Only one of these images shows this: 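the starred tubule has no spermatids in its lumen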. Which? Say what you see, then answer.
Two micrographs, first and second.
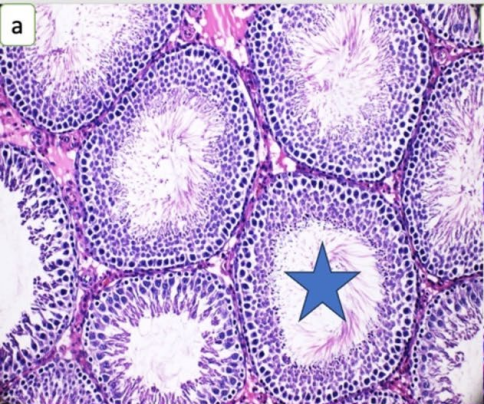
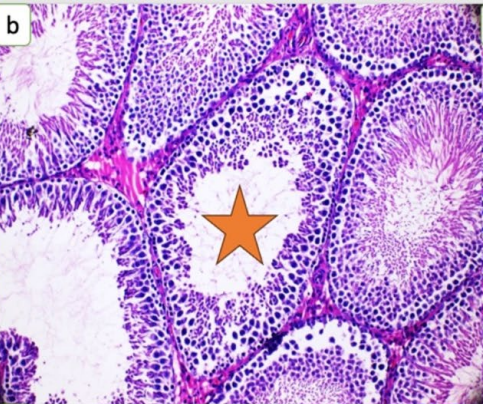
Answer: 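Second image: the starred lumen holds pale loose material and scattered cells without dense fibrous strands. First image: the starred lumen is filled with pink fibrous strands radiating from the lining. On this evidence: the second image.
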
